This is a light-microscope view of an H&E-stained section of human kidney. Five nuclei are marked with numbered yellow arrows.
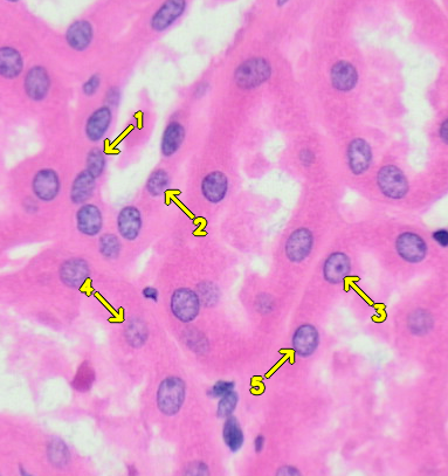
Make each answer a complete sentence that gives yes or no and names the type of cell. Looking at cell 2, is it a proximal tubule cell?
No, the marked cell 2 is not a proximal tubule cell, being instead a collecting duct cell.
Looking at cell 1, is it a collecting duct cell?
Yes, the cell labelled with number 1 is a collecting duct cell.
